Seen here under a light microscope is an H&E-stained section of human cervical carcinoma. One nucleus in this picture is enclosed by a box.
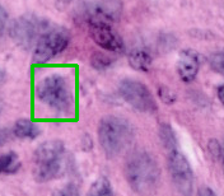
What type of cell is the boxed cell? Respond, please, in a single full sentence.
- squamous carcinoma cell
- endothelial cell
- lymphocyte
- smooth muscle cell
For the purposes of cell typing, the boxed cell is categorized as a squamous carcinoma cell.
